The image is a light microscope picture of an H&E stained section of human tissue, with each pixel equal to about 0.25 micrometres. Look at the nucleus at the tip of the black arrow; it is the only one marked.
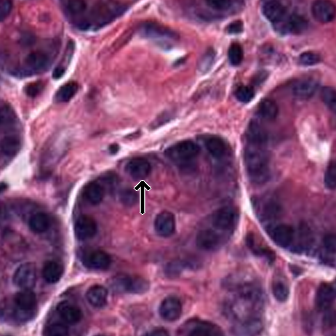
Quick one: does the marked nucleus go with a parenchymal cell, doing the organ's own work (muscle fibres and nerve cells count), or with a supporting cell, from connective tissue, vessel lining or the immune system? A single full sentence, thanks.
The parenchymal cell with the marked nucleus is a pancreatic acinar cell.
